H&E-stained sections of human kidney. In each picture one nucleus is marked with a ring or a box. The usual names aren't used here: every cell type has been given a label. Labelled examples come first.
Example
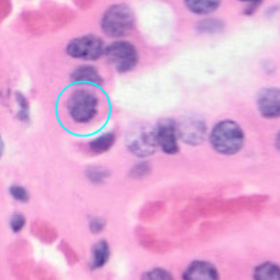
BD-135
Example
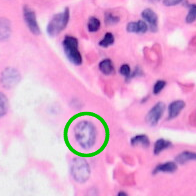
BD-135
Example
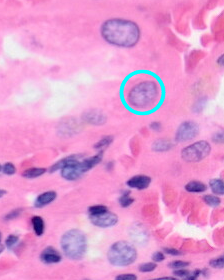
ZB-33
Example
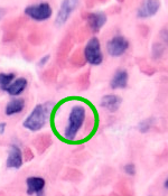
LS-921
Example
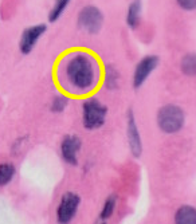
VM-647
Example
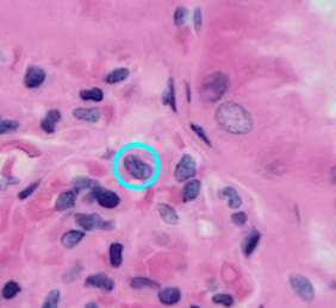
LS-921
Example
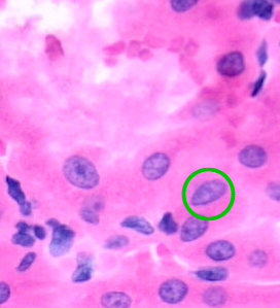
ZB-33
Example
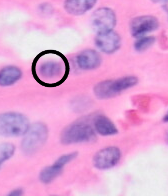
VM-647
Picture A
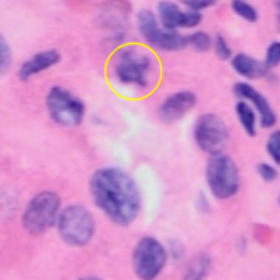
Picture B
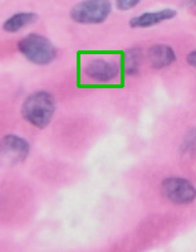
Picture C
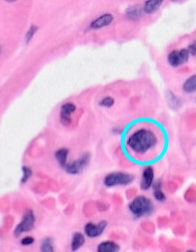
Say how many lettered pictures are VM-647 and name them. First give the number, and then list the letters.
1, namely A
